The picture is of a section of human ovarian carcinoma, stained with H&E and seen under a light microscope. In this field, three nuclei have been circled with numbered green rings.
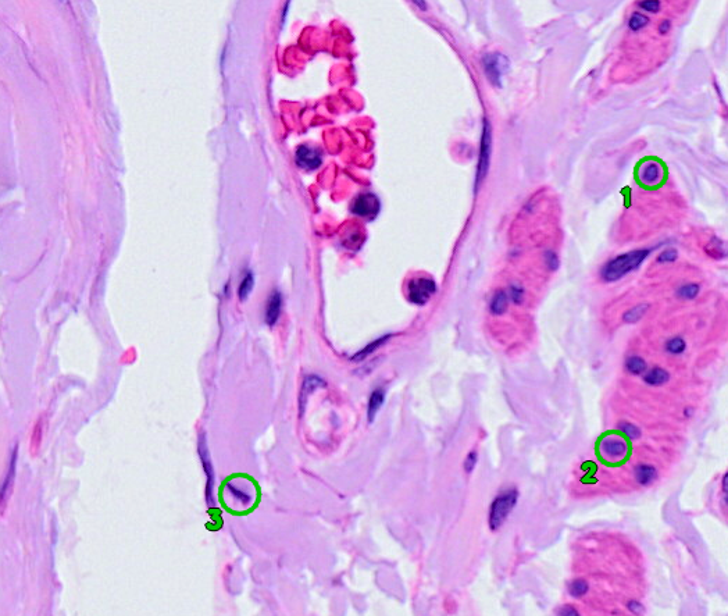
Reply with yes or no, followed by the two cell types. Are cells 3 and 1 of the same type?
No, cell 3 is a fibroblast and cell 1 is a smooth muscle cell.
